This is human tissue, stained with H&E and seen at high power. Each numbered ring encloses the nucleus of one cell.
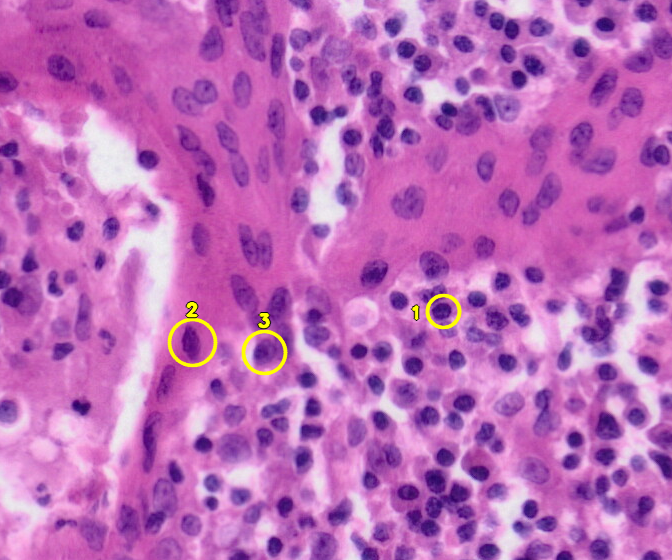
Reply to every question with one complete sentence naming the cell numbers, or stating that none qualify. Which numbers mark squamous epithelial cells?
Cells 2 and 3 are recognised here as squamous epithelial cells.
